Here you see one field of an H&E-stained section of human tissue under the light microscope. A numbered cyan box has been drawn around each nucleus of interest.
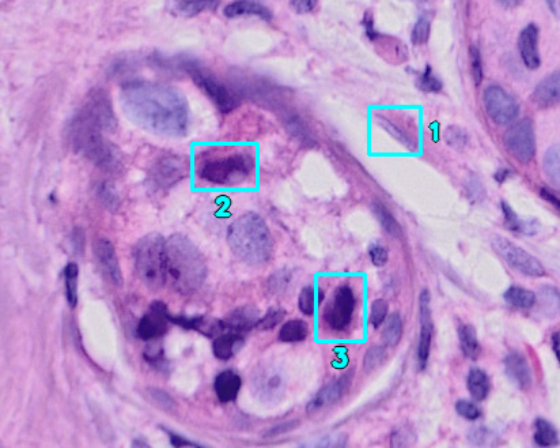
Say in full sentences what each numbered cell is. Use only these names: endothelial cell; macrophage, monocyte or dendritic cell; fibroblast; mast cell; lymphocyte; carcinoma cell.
Cell 1 is an endothelial cell, cell 2 is a carcinoma cell and cell 3 is a carcinoma cell.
